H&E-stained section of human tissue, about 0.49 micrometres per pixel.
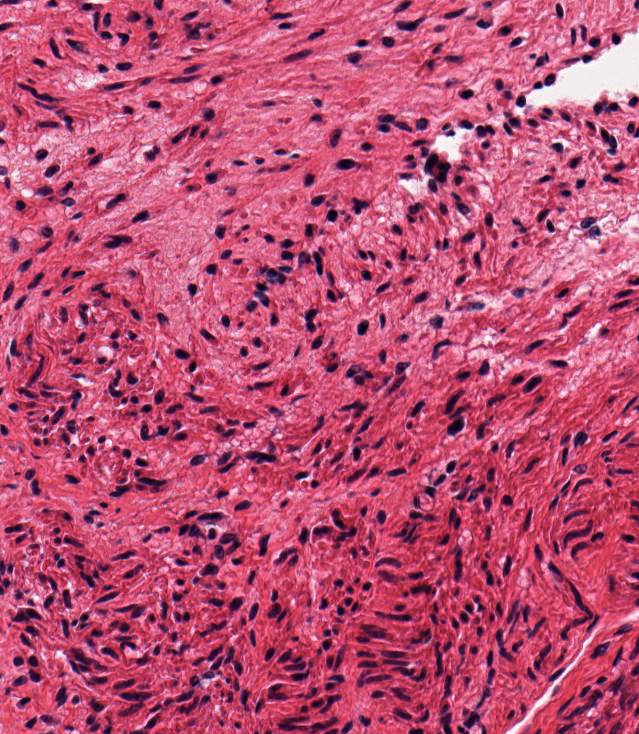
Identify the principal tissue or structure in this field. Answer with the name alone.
smooth muscle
